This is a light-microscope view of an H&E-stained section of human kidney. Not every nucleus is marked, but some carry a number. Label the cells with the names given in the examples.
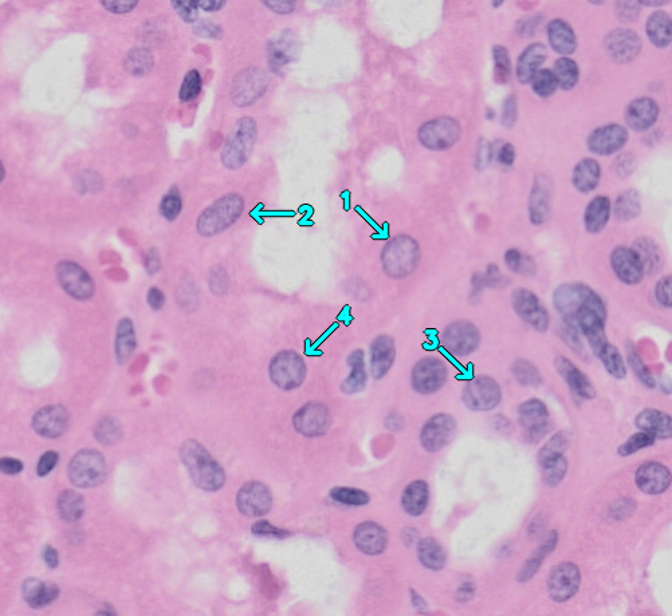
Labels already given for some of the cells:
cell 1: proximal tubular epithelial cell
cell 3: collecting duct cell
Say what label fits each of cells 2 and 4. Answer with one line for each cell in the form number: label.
2: proximal tubular epithelial cell
4: proximal tubular epithelial cell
